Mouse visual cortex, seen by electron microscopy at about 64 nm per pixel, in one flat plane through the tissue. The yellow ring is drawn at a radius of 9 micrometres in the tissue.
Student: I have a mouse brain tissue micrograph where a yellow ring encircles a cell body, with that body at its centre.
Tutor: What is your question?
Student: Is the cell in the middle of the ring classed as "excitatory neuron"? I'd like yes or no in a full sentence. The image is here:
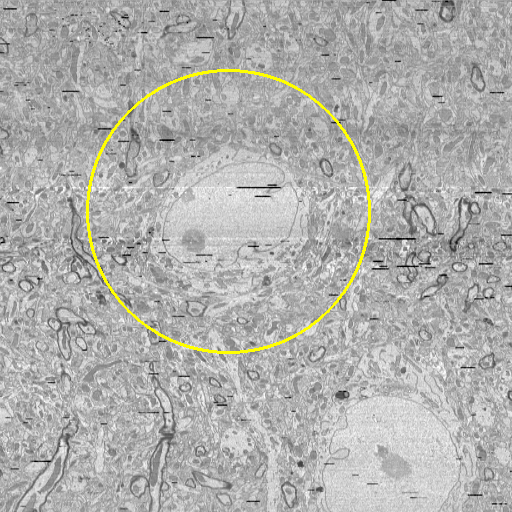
Yes, the cell in the middle of the ring is classed as that kind.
